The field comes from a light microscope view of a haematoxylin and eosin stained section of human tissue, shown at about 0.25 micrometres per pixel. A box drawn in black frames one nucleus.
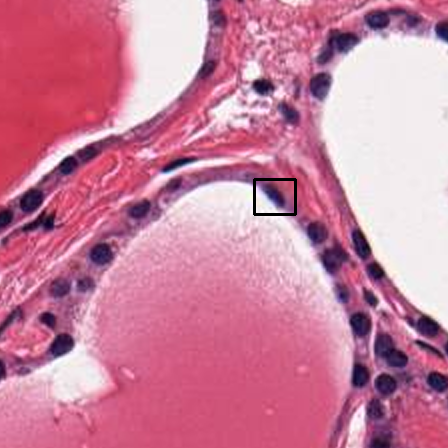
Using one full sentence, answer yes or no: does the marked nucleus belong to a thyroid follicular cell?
Yes, the marked nucleus lies within a thyroid follicular cell.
